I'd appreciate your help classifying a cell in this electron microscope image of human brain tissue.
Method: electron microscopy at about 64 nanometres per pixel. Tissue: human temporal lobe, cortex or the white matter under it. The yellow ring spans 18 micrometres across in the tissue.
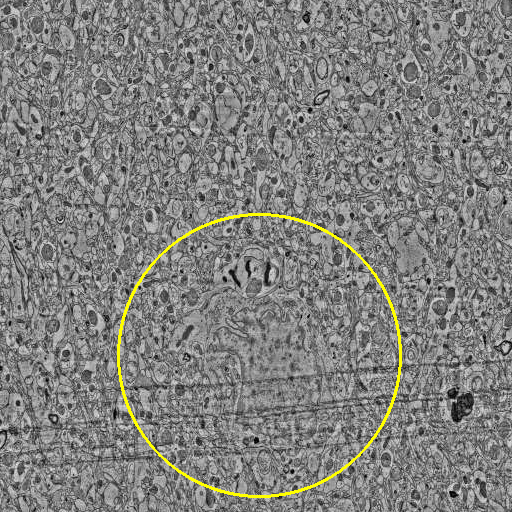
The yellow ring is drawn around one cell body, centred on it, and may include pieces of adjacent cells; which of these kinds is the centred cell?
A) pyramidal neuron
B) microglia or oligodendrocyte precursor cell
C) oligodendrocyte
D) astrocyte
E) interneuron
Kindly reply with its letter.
E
